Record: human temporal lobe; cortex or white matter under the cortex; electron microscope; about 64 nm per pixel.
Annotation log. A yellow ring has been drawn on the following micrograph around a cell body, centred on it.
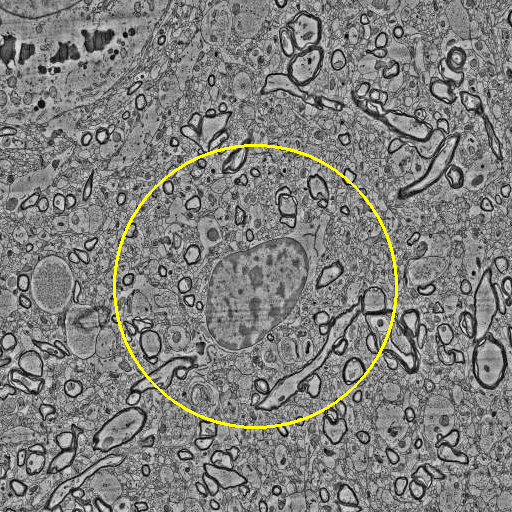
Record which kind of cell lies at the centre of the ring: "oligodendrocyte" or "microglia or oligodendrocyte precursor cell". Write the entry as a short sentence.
The cell the ring is centred on is a microglial cell or oligodendrocyte precursor cell.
